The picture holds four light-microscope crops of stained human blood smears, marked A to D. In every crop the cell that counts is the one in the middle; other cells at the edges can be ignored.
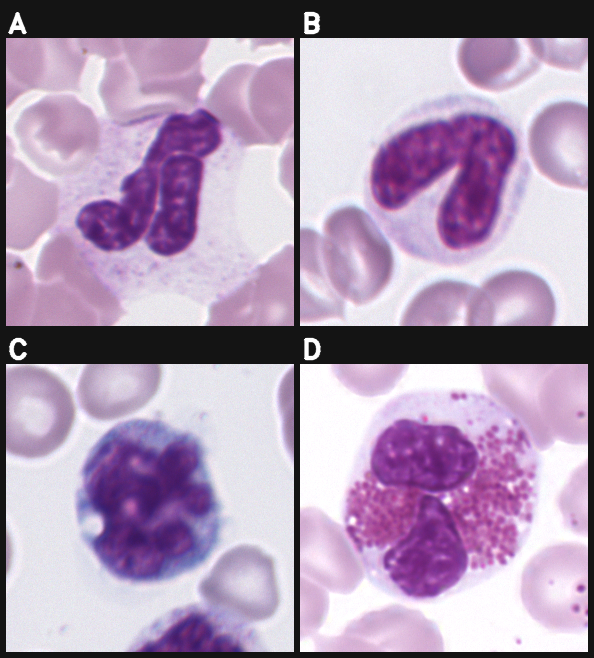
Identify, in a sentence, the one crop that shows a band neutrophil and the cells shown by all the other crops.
The crop labelled B shows a band neutrophil, whereas crop A is a segmented neutrophil, crop C is a monocyte and crop D is an eosinophil.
